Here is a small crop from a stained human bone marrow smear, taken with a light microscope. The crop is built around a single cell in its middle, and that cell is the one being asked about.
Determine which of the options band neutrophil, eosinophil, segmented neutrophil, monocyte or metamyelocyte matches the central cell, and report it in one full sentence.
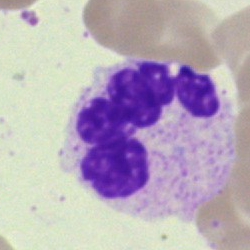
Located at the centre of the crop is a segmented neutrophil.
